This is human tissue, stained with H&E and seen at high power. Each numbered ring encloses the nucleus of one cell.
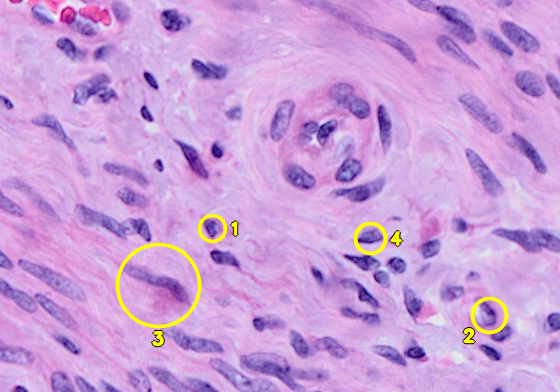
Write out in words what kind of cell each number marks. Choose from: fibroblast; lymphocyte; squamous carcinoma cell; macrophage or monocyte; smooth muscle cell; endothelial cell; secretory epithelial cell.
Cells 1 and 3 are smooth muscle cells. Cell 2 is an endothelial cell. Cell 4 is a fibroblast.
